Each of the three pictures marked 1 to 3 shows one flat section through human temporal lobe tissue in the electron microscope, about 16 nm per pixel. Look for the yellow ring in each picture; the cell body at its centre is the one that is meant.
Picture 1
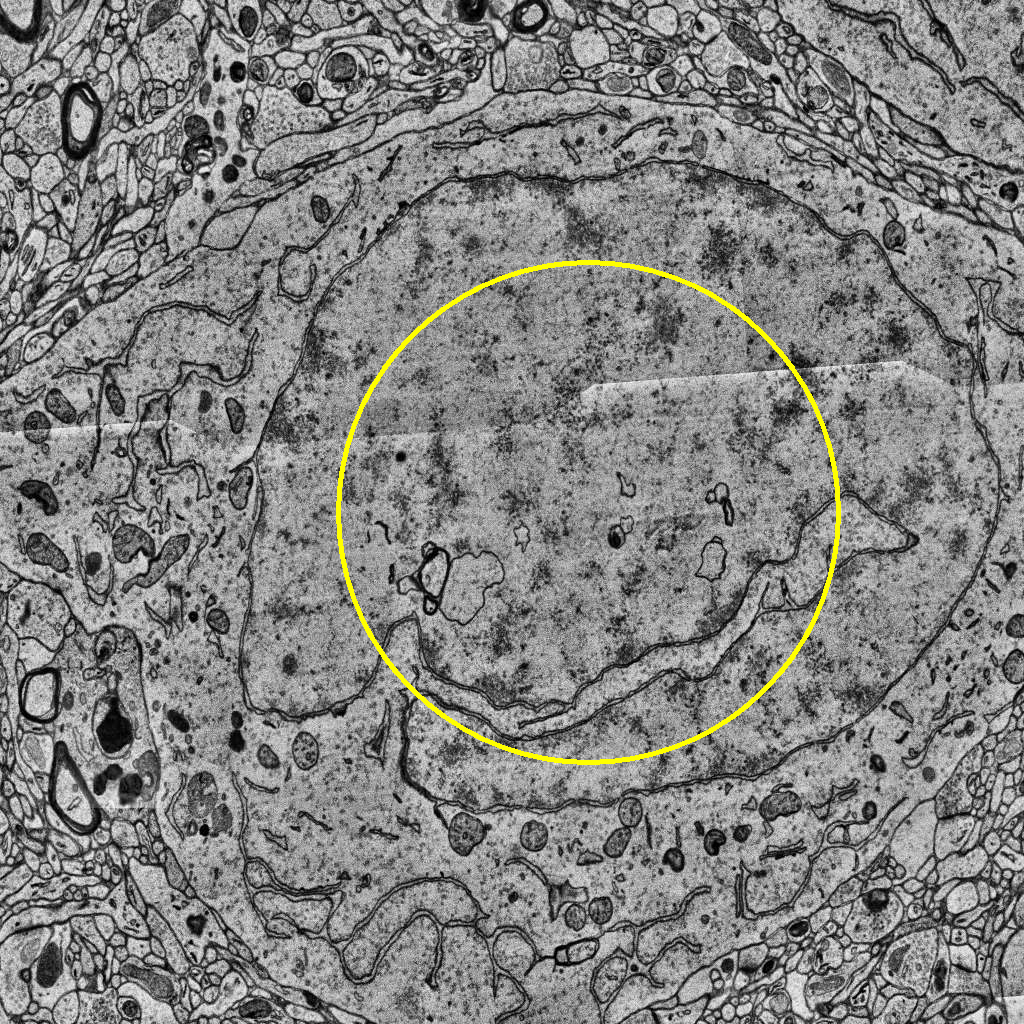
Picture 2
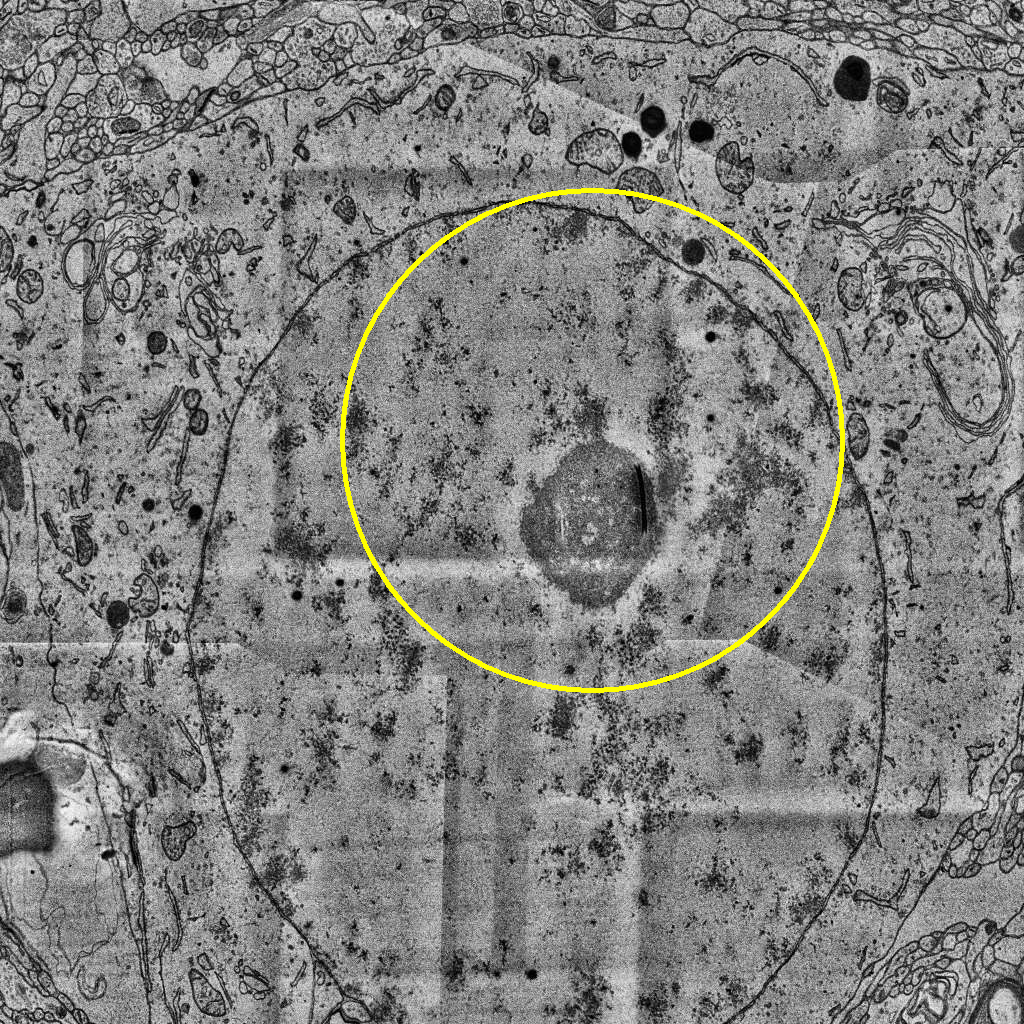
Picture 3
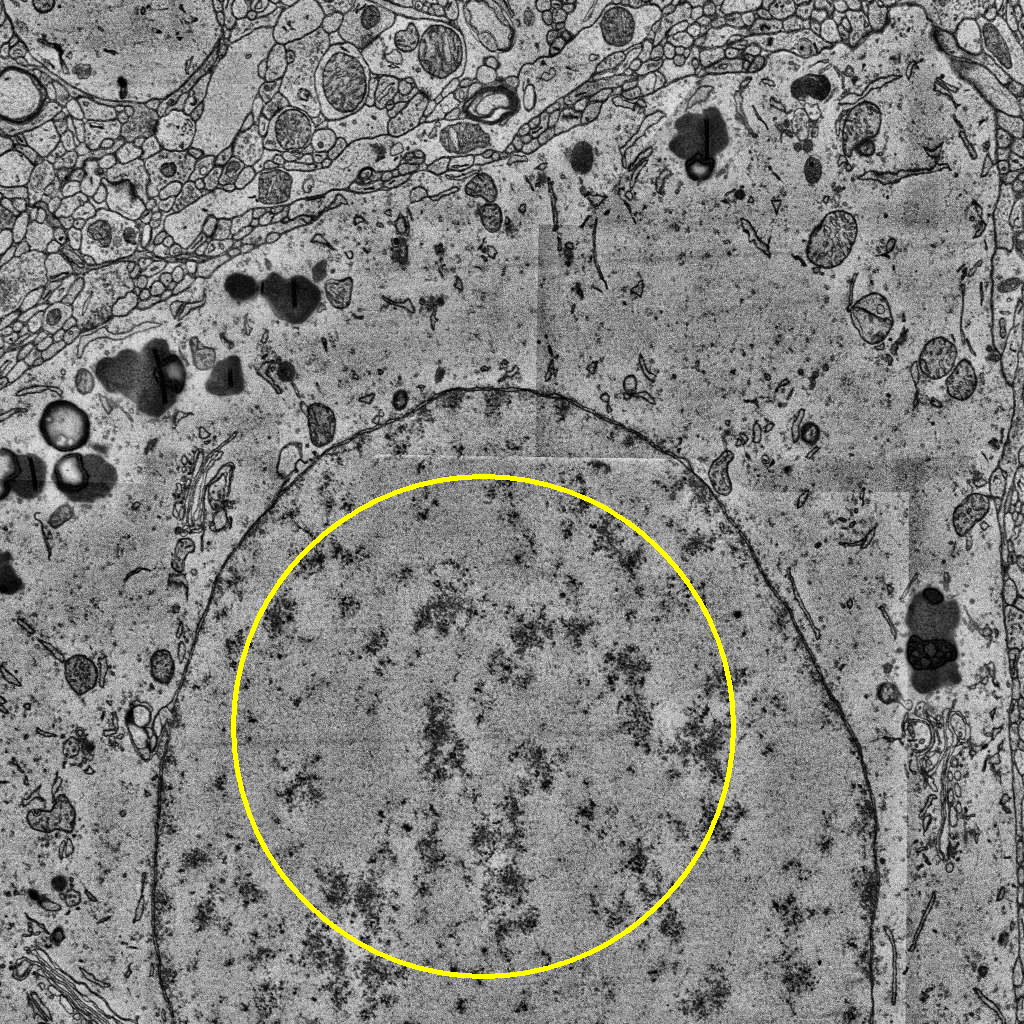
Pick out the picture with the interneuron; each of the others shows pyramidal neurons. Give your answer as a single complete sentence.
The interneuron is the one in picture 1.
